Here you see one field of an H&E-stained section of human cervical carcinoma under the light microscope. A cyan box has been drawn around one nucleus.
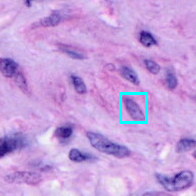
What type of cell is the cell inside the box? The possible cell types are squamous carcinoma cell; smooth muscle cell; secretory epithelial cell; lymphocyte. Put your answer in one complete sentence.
Histopathologically, the cell inside the box is a smooth muscle cell.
